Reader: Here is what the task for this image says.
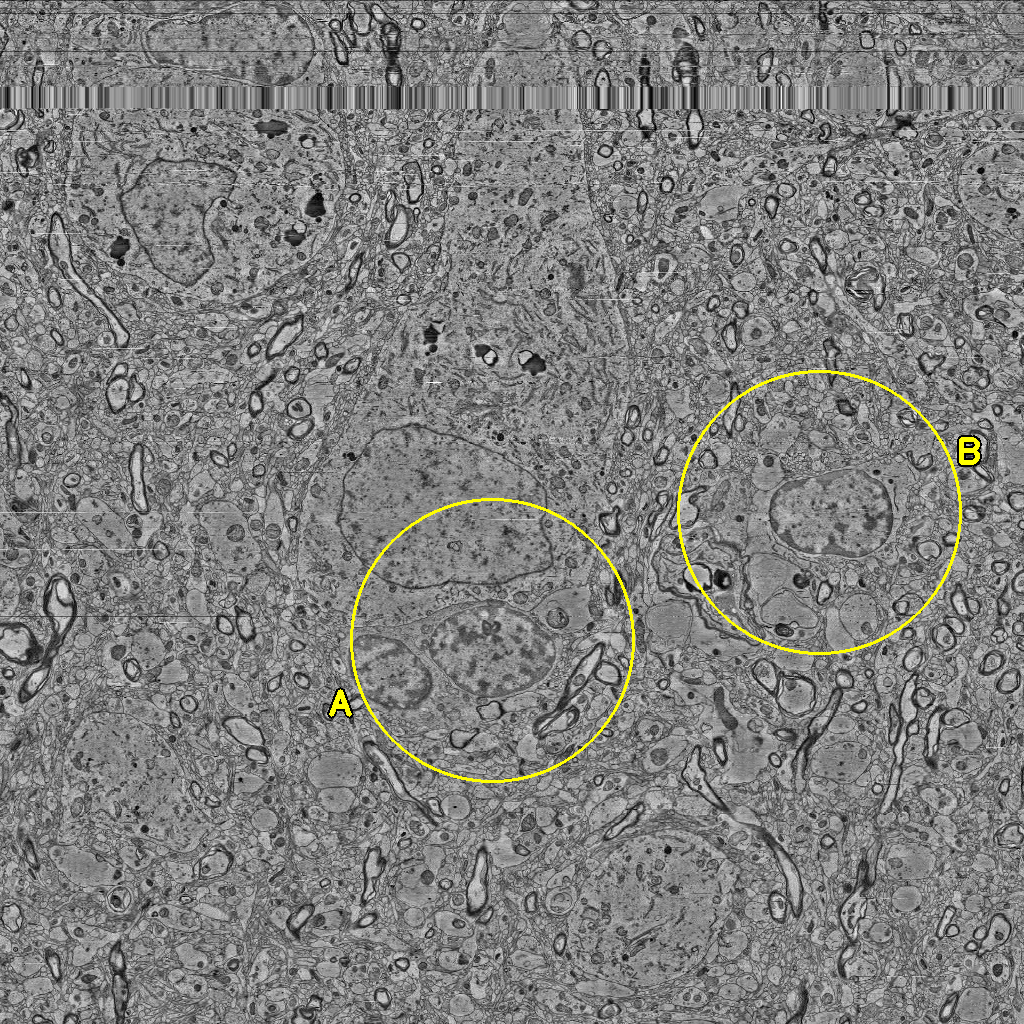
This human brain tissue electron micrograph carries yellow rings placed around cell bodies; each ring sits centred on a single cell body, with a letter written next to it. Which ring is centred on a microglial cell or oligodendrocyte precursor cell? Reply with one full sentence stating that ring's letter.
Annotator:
Letter B marks the ring whose centre holds the cell asked for.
